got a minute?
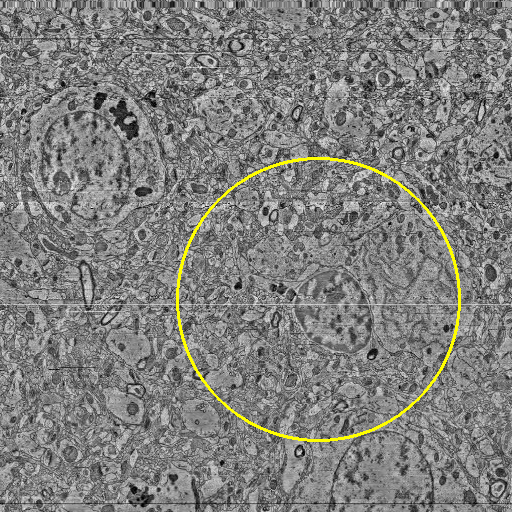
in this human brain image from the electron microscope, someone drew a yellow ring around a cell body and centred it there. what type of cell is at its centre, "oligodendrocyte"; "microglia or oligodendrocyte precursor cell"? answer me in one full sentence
It's a microglial cell or oligodendrocyte precursor cell at the middle of that yellow ring in the shot.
